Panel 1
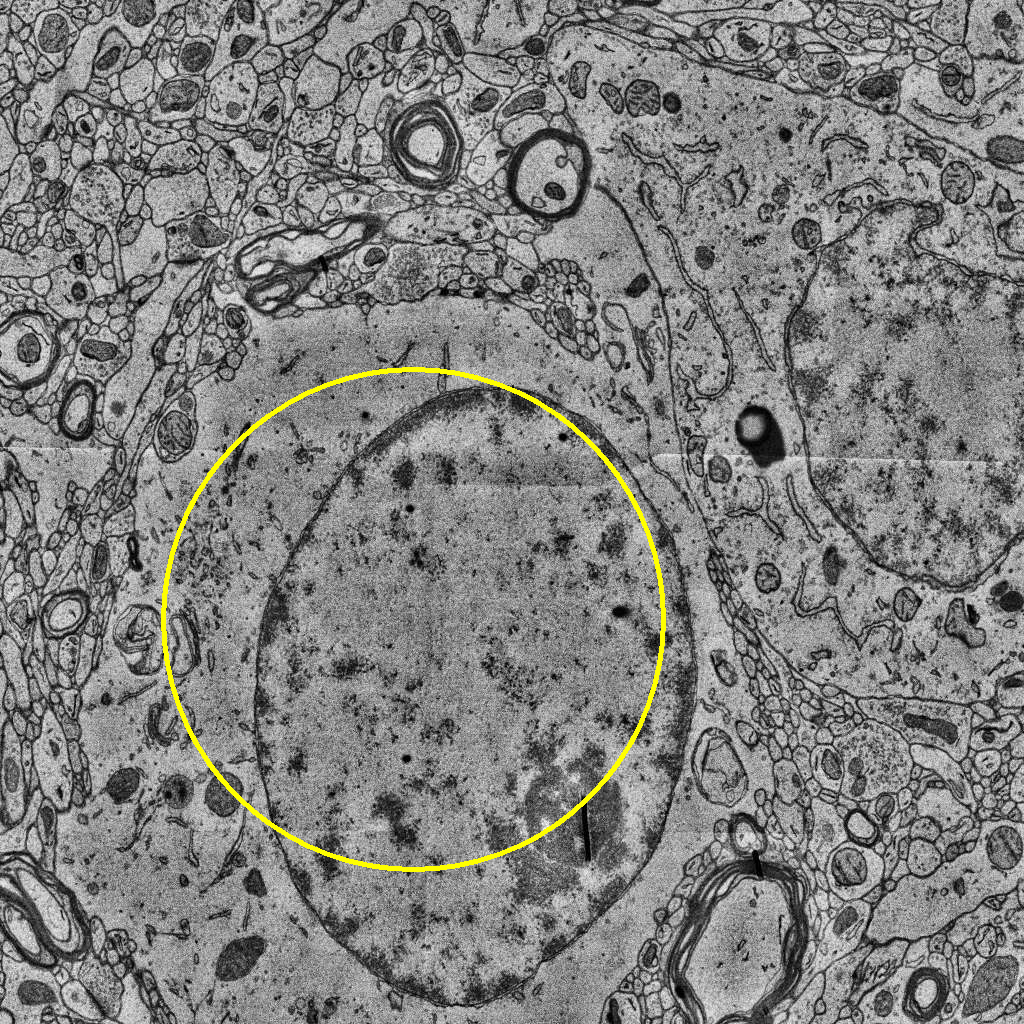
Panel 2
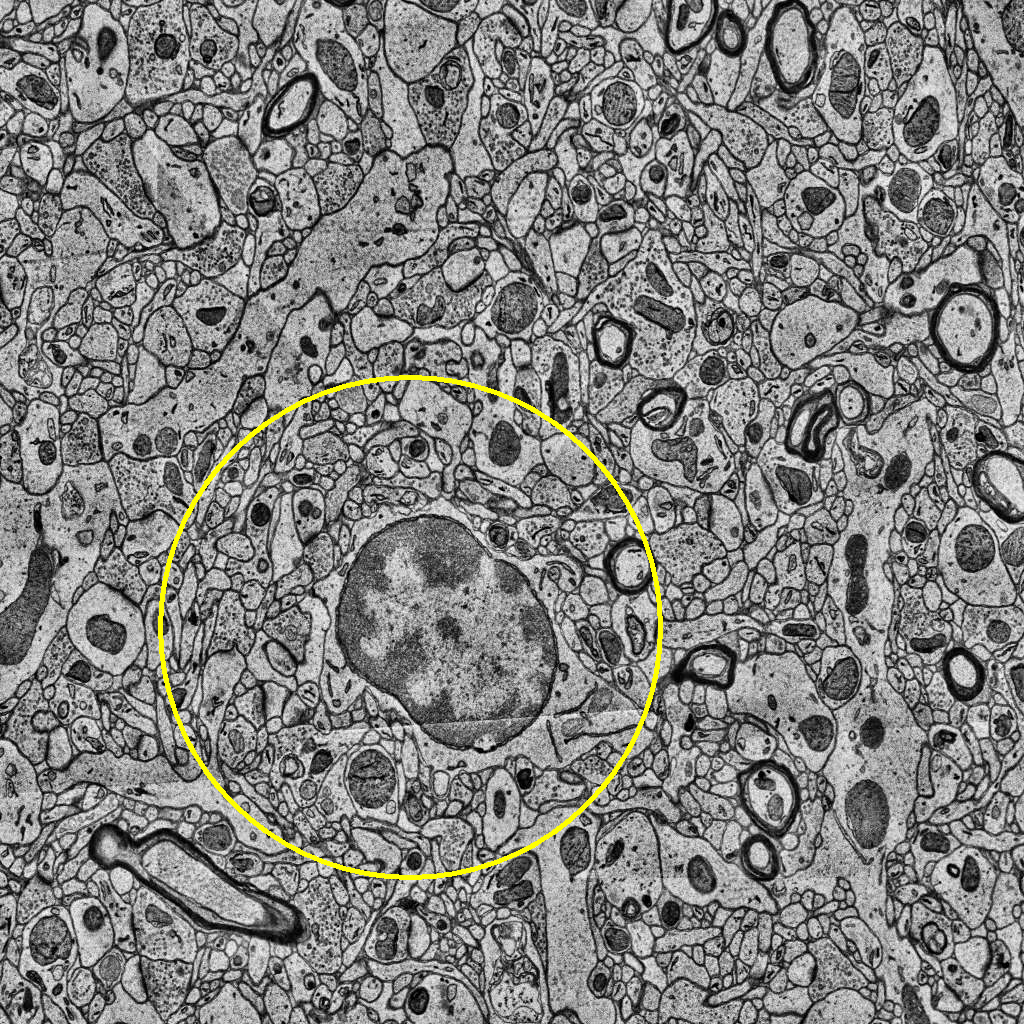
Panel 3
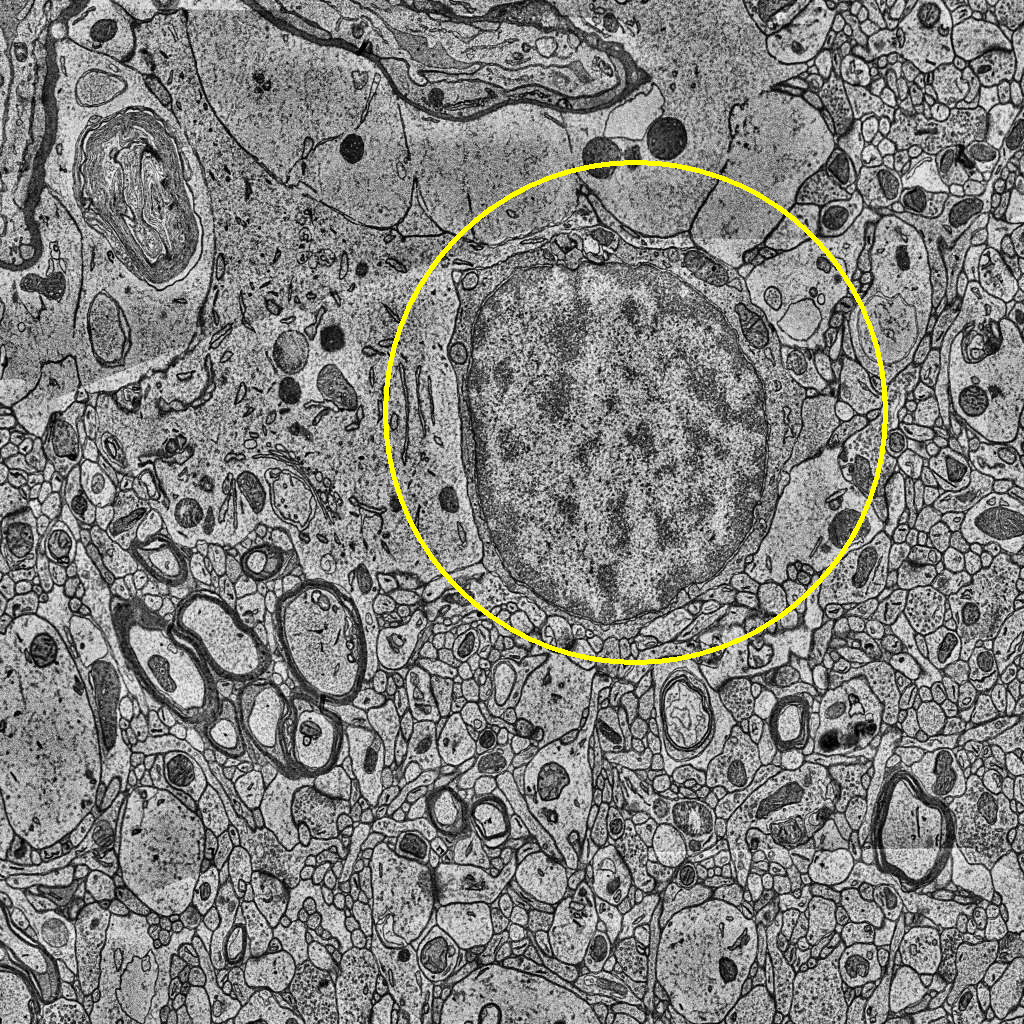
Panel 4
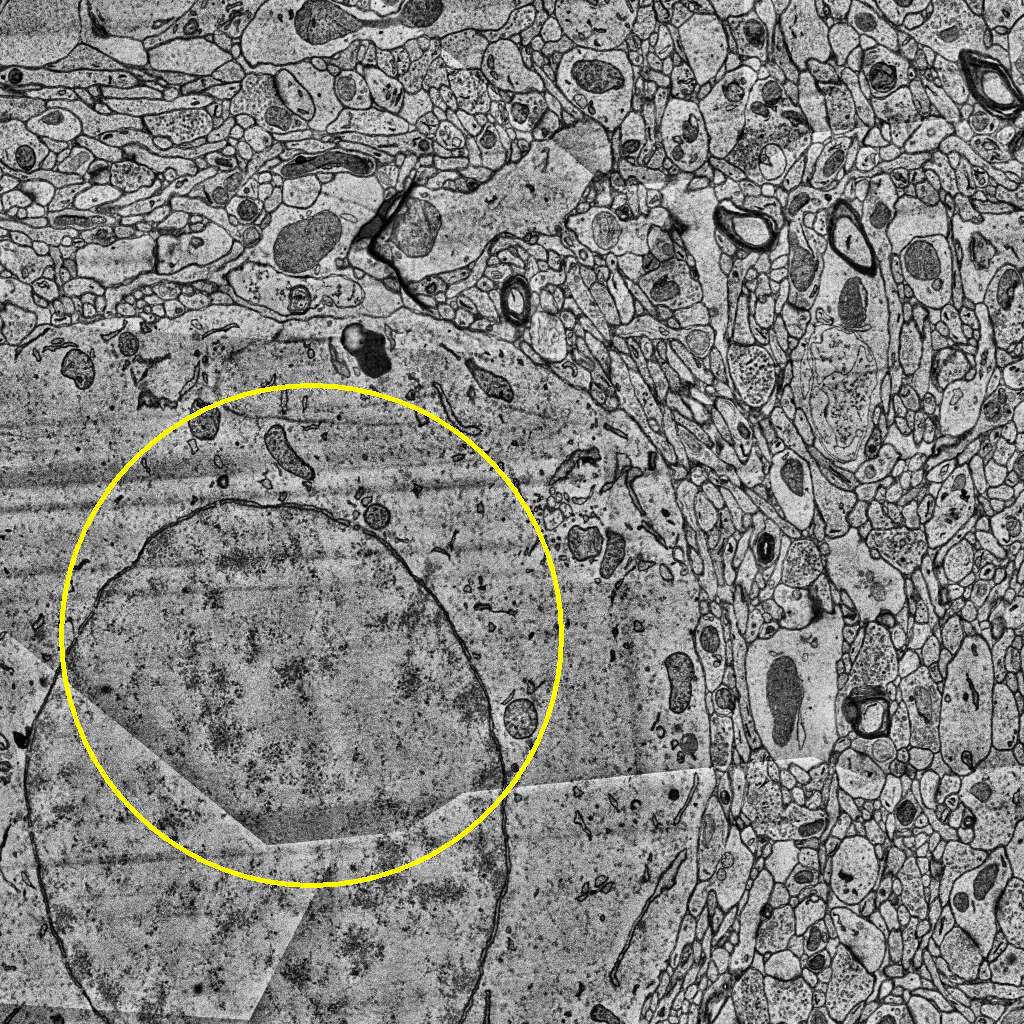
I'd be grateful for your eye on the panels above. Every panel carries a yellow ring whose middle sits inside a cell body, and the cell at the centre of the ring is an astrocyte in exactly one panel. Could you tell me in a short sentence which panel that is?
Panel 1 is the one with it at the centre of the ring.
